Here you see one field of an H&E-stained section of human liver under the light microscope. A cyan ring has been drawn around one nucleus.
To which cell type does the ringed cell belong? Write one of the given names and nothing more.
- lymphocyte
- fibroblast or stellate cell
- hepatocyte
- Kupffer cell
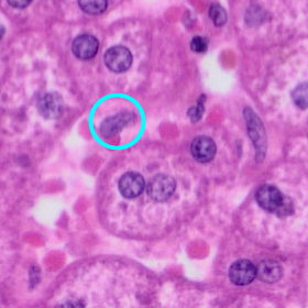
Kupffer cell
